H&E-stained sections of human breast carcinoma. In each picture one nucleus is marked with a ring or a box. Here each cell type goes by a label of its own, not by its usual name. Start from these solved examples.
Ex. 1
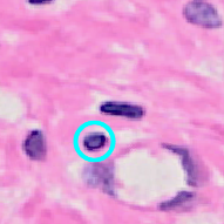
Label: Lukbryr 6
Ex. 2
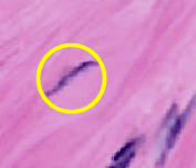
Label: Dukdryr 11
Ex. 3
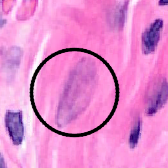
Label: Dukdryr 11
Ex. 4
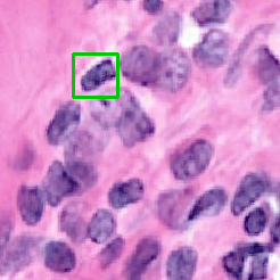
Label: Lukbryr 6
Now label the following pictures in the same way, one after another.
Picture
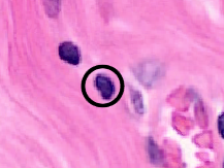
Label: Lukbryr 6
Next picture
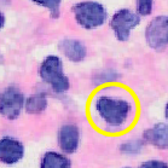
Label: Lukbryr 6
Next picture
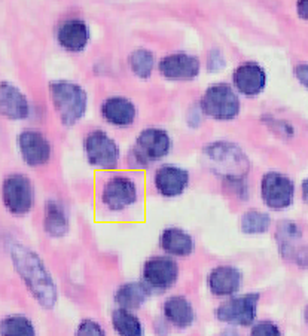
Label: Lukbryr 6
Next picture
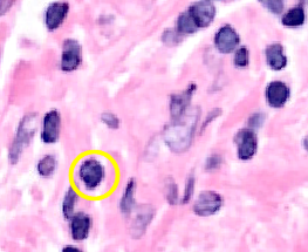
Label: Lukbryr 6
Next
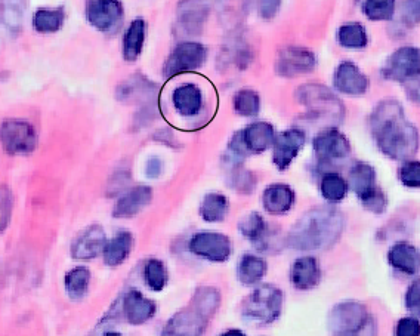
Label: Lukbryr 6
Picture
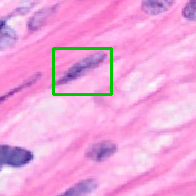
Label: Dukdryr 11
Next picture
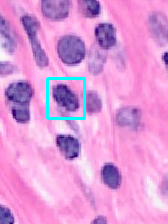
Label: Lukbryr 6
